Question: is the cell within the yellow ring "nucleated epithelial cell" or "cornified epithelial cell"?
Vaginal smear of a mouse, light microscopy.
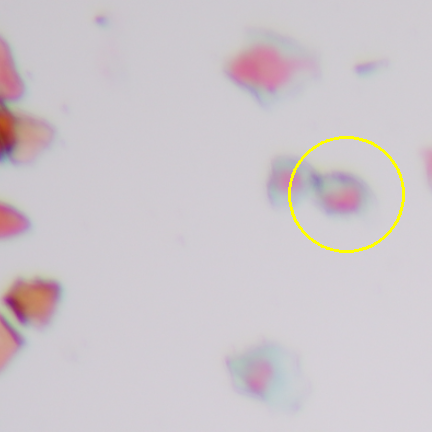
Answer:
nucleated epithelial cell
